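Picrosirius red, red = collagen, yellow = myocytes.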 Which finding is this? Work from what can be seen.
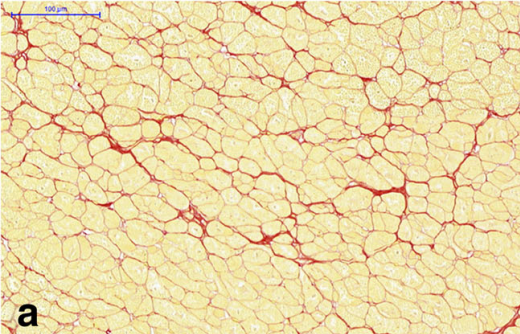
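Yellow fibres fill nearly the whole field. Few thicker red strands are present. So: mild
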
